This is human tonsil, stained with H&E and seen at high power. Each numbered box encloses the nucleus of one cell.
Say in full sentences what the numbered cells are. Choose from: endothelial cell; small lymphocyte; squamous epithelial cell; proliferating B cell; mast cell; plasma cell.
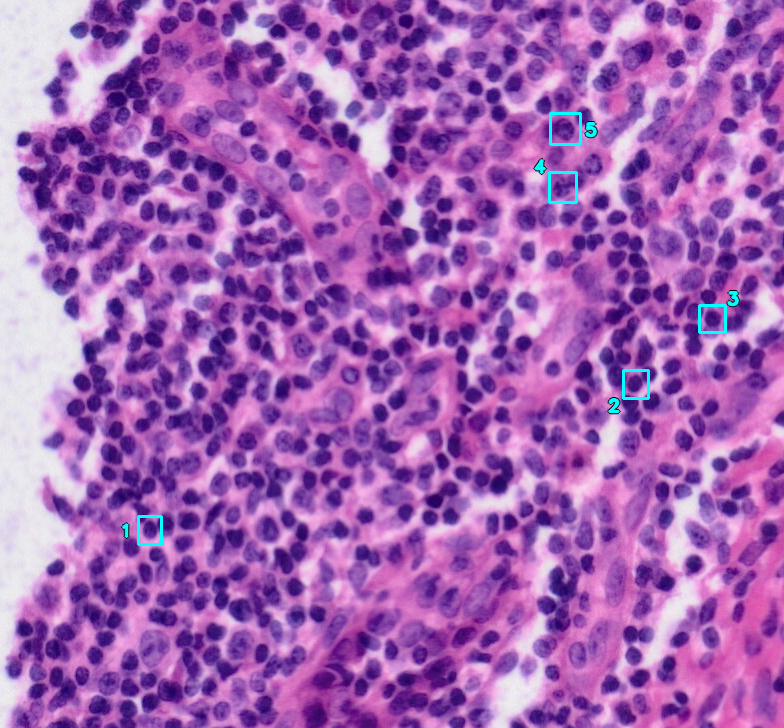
Cells 1, 2 and 3 are small lymphocytes. Cells 4 and 5 are plasma cells.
